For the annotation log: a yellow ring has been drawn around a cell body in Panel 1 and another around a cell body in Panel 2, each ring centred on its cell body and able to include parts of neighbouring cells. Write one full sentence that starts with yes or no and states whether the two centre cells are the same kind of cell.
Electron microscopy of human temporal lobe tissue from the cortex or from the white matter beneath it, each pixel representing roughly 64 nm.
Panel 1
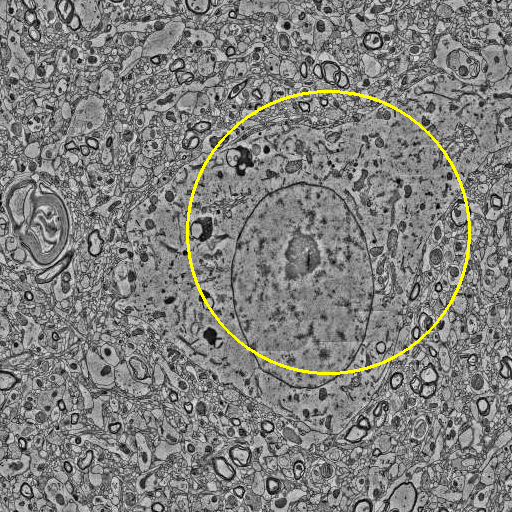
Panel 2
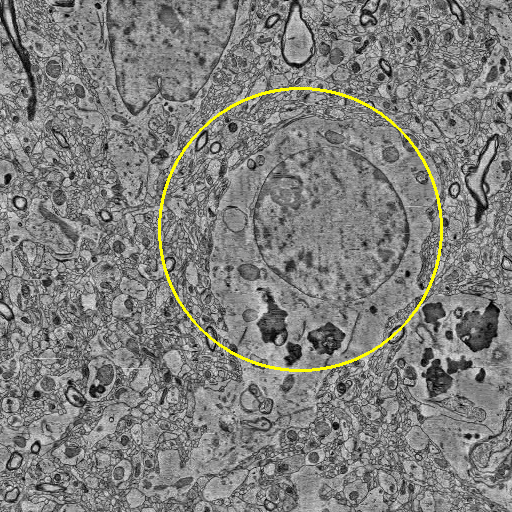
No, the two centre cells are two kinds of cell.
